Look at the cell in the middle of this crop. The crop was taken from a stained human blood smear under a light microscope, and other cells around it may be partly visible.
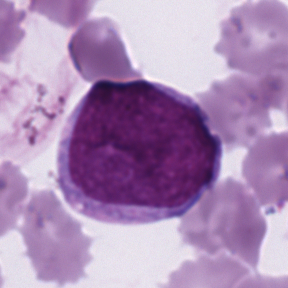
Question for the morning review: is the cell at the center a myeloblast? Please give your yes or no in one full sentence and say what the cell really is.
Yes, the cell here in the middle is a myeloblast.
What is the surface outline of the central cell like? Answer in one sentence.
The border of this cell runs smooth and free of any projections.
